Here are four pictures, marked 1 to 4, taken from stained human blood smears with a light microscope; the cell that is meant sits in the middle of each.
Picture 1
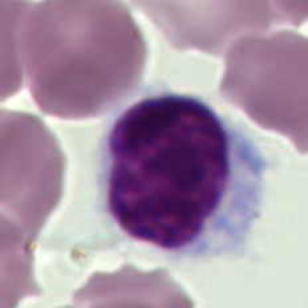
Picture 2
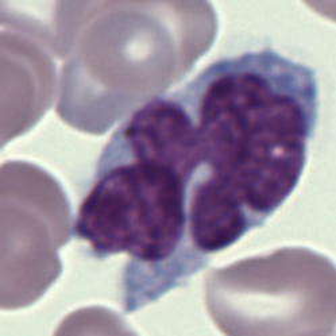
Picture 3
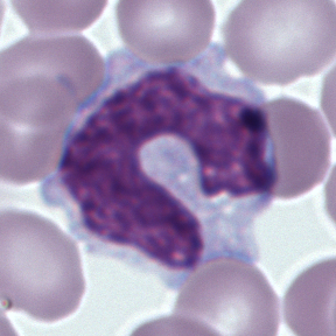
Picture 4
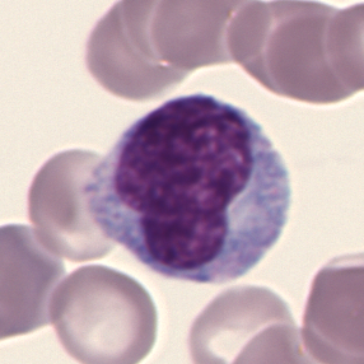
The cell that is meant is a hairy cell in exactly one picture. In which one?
1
